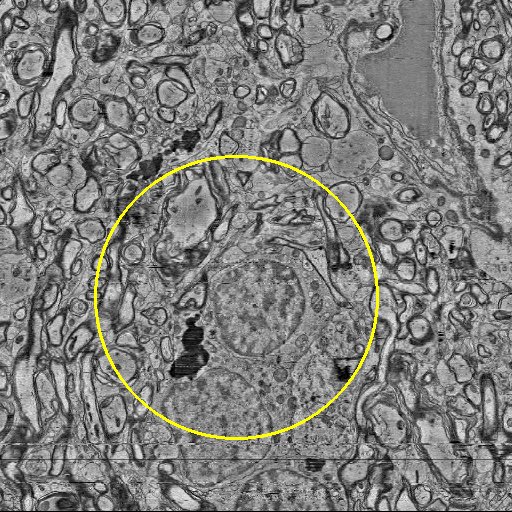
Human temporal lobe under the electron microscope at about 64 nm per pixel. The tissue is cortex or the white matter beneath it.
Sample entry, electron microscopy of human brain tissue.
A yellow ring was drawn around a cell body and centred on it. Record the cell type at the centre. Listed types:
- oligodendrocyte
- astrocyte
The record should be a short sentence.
The cell at the ring's centre is an oligodendrocyte.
